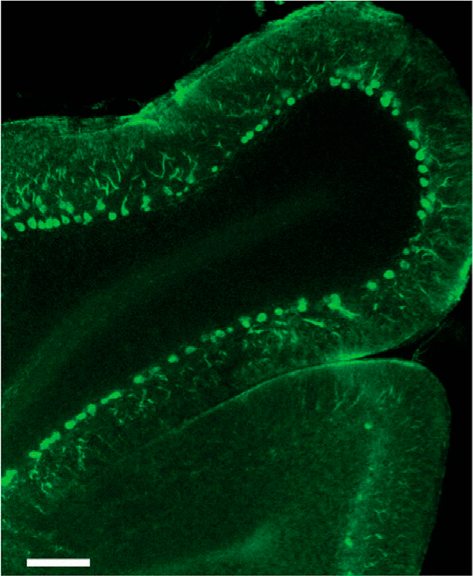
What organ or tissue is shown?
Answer: cerebellum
